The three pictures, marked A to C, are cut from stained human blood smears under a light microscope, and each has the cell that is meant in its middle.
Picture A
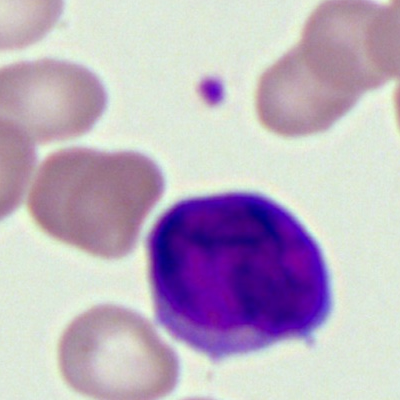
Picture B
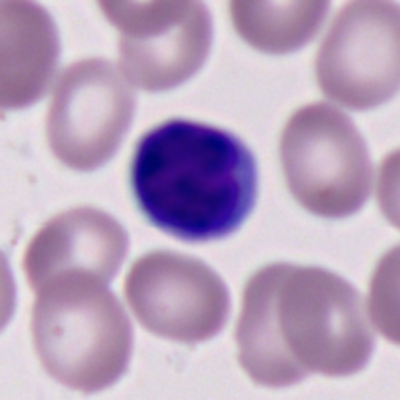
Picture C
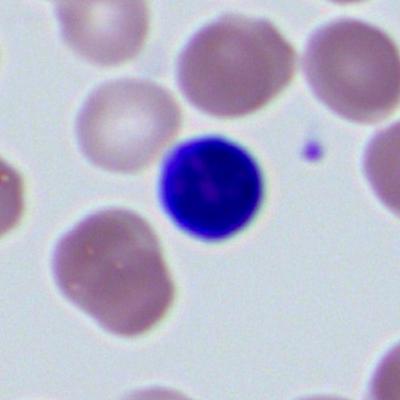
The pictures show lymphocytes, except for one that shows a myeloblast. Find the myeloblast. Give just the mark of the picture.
A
